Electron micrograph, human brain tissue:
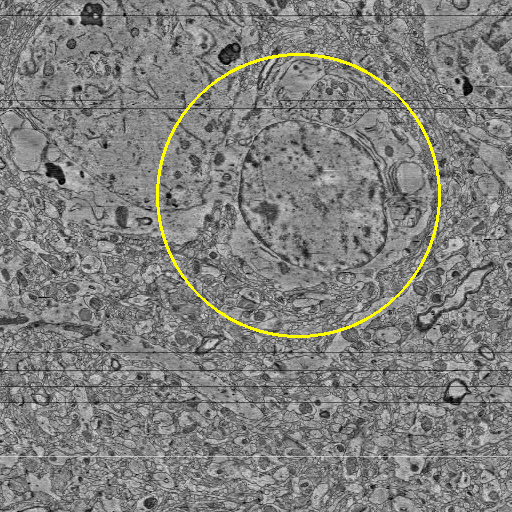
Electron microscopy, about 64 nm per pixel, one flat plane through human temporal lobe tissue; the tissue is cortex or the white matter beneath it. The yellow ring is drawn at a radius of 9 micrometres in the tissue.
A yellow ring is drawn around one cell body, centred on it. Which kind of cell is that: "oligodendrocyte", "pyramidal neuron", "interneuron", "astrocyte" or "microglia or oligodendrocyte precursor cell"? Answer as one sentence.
It is an astrocyte at the centre of the ring.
